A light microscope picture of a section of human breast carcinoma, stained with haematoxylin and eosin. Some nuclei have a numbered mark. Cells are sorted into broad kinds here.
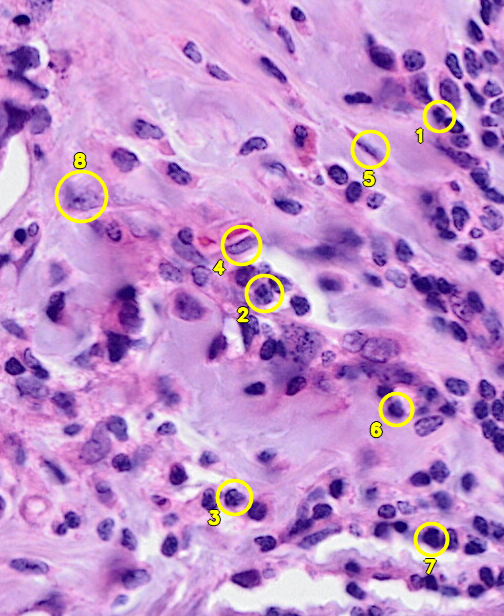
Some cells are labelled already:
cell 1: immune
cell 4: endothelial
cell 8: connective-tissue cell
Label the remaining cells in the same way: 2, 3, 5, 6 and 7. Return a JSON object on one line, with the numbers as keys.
{"2": "immune", "3": "immune", "5": "connective-tissue cell", "6": "immune", "7": "immune"}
